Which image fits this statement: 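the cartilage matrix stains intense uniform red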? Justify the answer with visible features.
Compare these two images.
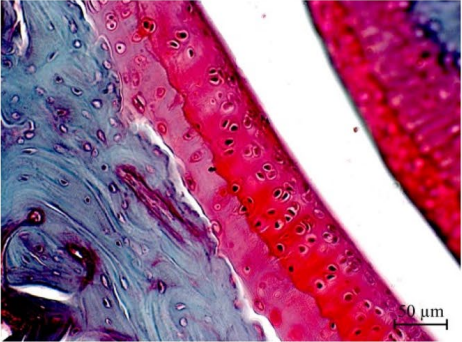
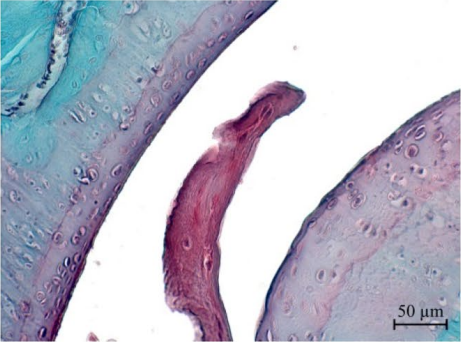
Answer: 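Second image: cartilage matrix is pale pink and lilac with little red.
Answer: the first image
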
